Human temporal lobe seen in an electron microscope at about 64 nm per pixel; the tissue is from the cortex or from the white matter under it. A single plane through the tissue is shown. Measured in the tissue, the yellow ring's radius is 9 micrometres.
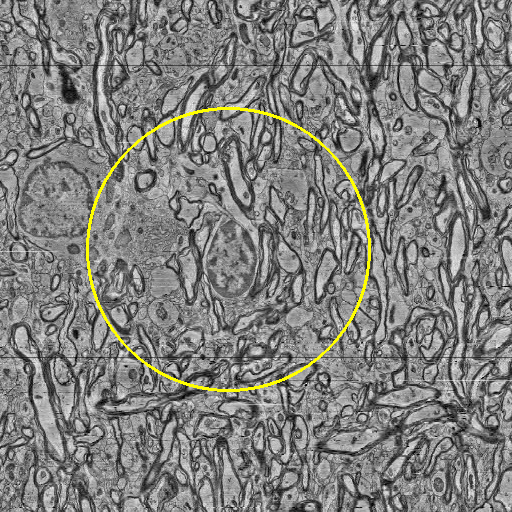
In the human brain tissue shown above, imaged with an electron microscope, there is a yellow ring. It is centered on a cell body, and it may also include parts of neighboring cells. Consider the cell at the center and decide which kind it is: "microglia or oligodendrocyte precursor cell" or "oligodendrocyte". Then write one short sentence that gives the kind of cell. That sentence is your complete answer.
This centered cell body is that of a microglial cell or oligodendrocyte precursor cell.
